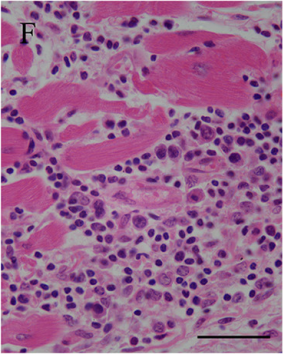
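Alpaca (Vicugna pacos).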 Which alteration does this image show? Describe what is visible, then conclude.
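Many lymphocytes, macrophages, and plasma cell infiltration. Dense sheets of small round cells with dark round nuclei lie between the muscle fibers. Some larger cells with more cytoplasm and eccentric nuclei are mixed in. The pink muscle fibers are separated and fragmented by the infiltrate.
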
